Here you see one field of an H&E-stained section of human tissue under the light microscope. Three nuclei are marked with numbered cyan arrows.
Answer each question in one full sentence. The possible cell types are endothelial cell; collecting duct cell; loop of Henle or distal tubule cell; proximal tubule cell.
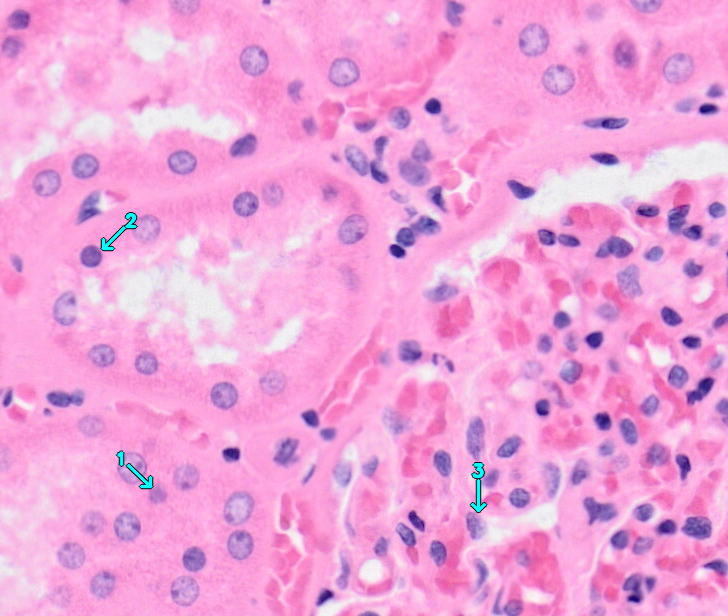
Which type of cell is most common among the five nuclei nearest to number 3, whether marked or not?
Endothelial cells make up most of the five nuclei closest to number 3.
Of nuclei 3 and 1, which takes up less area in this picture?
It is nucleus 1; nucleus 3 has about 1.5 times its area.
